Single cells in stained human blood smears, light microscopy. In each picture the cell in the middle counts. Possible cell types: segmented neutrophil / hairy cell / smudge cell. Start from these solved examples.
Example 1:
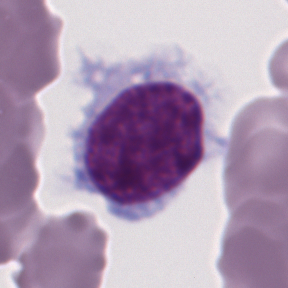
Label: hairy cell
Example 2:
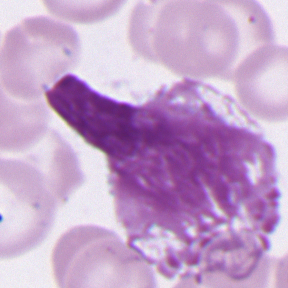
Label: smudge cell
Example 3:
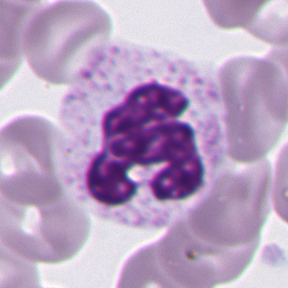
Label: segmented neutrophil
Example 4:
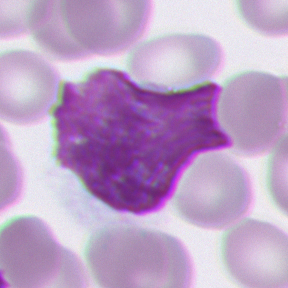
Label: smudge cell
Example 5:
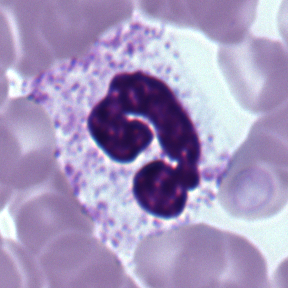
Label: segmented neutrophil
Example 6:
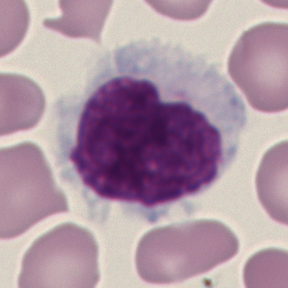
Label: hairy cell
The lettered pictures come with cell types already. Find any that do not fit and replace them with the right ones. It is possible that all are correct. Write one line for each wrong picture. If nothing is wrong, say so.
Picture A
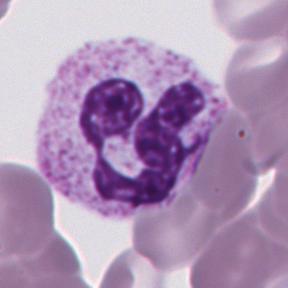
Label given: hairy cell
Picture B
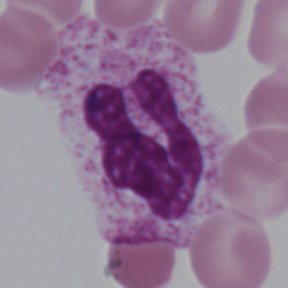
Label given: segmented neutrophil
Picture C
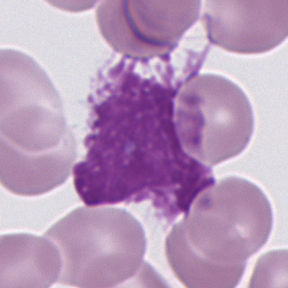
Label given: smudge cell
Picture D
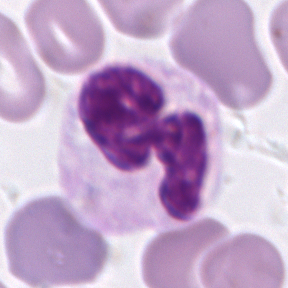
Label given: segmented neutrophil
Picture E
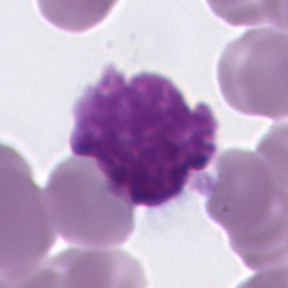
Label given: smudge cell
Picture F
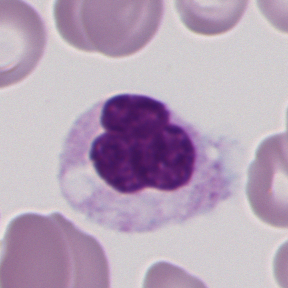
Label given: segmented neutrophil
A: not hairy cell but segmented neutrophil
